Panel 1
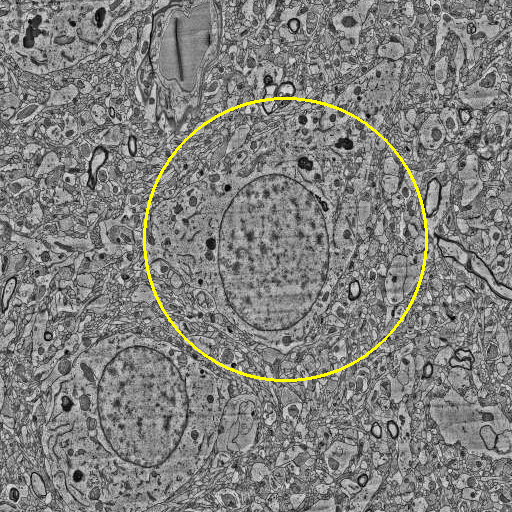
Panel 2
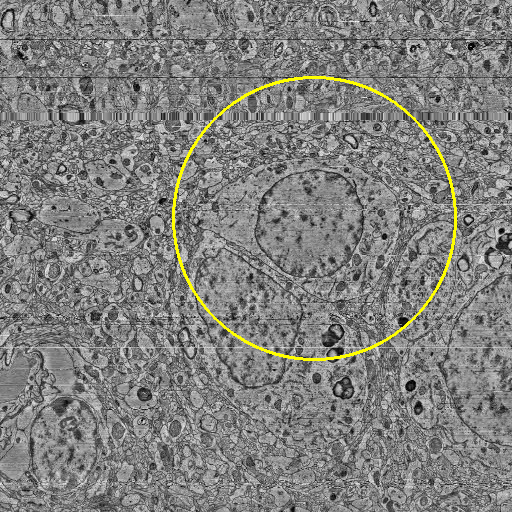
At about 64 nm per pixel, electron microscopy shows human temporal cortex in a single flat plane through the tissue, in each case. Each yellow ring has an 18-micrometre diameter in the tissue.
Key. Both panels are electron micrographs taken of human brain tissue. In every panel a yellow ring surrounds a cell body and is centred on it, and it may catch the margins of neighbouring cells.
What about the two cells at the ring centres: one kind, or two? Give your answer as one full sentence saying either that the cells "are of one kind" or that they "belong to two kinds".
Across Panels 1 and 2, the two cells at the ring centres are of one kind.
